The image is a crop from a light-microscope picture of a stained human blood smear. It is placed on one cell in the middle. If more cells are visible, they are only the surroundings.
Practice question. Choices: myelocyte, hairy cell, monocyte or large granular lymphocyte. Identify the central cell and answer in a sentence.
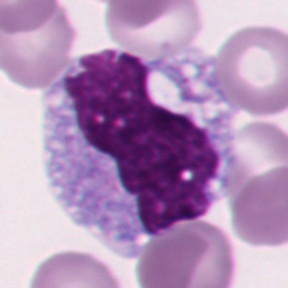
This crop has a monocyte at its centre.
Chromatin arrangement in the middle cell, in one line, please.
The chromatin is fine throughout, without coarse clumps.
